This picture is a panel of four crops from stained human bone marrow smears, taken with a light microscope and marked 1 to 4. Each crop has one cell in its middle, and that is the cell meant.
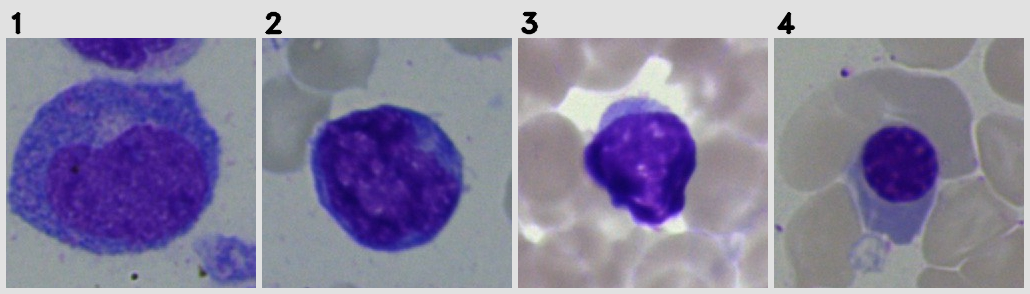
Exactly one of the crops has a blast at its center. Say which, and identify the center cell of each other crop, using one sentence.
The middle of crop 2 holds a blast, while crop 1 is a promyelocyte, crop 3 is a lymphocyte and crop 4 is an erythroblast.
